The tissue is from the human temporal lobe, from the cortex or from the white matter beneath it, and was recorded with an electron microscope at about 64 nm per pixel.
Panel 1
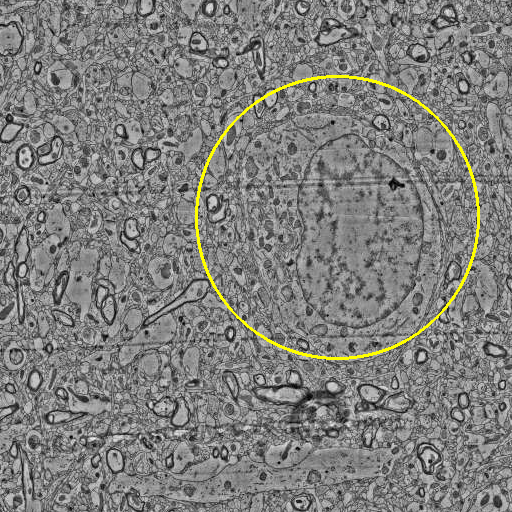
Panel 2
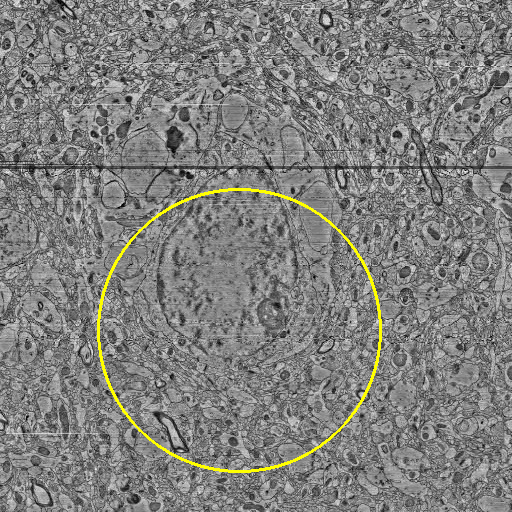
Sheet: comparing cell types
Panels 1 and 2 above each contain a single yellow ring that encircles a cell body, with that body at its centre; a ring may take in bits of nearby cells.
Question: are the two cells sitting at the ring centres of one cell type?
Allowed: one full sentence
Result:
Yes, the ring-centre cells in Panel 1 and Panel 2 are of one type.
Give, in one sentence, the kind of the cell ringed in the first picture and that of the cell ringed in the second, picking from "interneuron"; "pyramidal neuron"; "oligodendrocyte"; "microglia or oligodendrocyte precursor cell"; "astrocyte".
Each cell, in the first picture and the second, is an interneuron.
